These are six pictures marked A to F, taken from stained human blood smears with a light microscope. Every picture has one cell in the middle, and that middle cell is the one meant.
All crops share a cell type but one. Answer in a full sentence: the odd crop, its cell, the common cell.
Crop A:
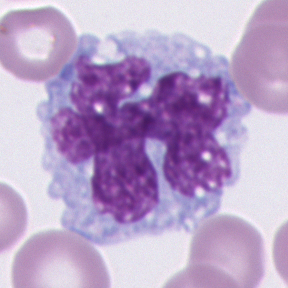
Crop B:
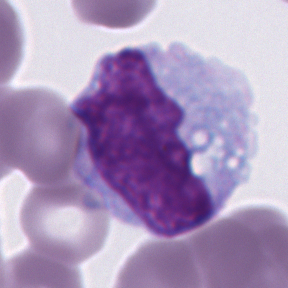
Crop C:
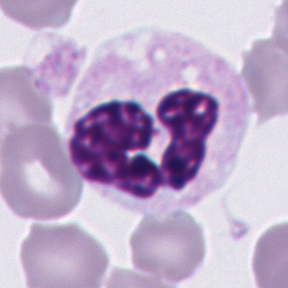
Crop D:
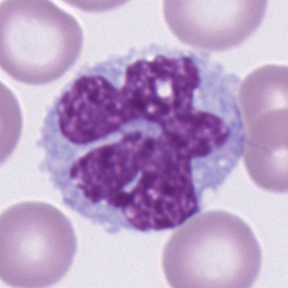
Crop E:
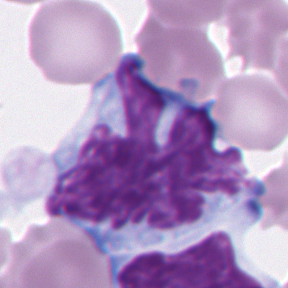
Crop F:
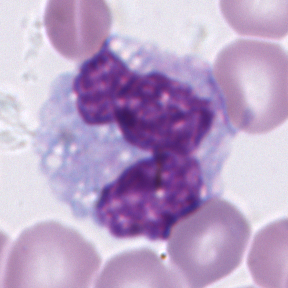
In contrast to the other crops, all of which show monocytes, crop C shows a segmented neutrophil.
